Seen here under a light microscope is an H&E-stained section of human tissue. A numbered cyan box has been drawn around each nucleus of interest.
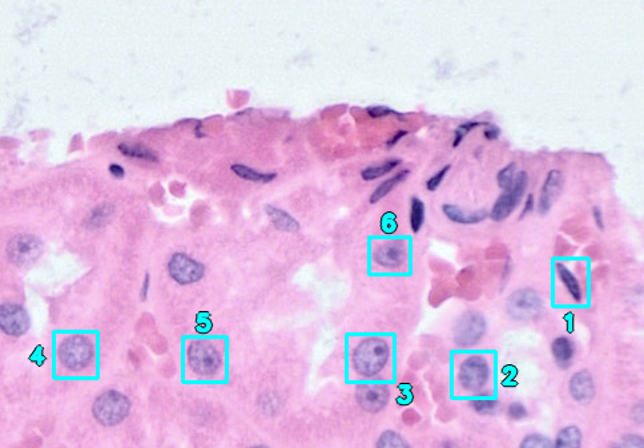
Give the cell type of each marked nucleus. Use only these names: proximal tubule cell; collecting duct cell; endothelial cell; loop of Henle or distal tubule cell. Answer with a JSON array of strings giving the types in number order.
["endothelial cell", "collecting duct cell", "proximal tubule cell", "proximal tubule cell", "proximal tubule cell", "proximal tubule cell"]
